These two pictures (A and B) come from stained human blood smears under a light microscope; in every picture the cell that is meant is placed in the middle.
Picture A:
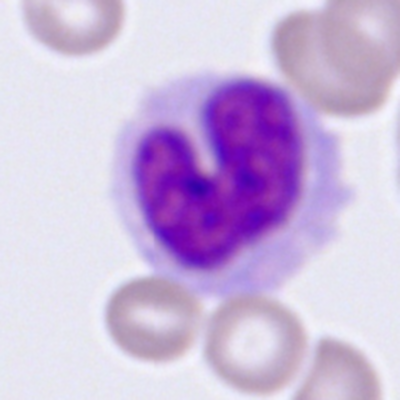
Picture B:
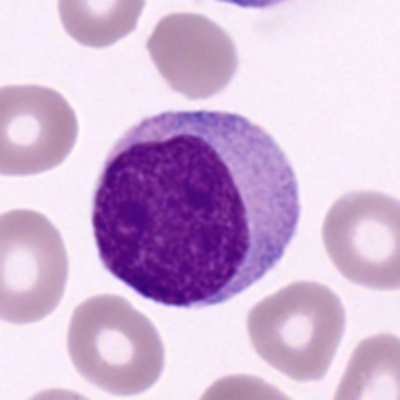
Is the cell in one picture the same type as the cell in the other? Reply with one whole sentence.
No. Picture A shows a monocyte, but picture B shows a myeloblast.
